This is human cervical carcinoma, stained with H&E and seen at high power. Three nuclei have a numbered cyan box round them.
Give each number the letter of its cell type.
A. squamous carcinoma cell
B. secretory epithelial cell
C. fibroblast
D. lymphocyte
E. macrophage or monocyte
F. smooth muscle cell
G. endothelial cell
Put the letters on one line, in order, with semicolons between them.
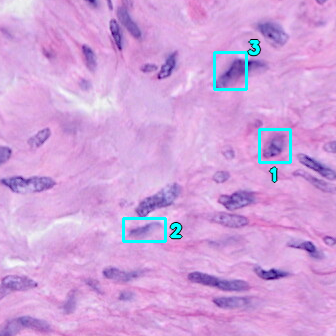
F; C; C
